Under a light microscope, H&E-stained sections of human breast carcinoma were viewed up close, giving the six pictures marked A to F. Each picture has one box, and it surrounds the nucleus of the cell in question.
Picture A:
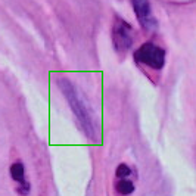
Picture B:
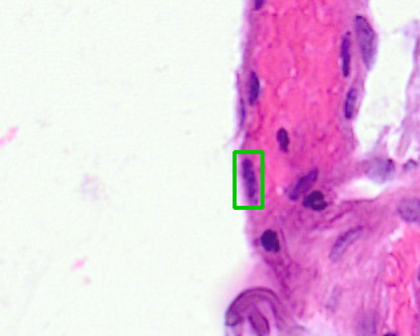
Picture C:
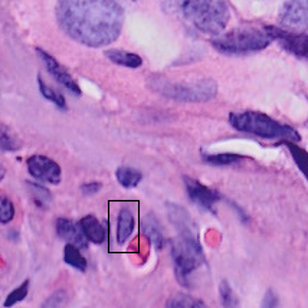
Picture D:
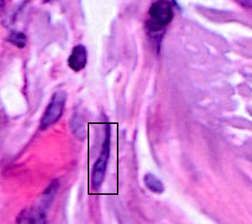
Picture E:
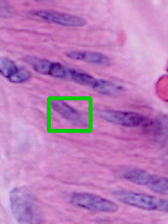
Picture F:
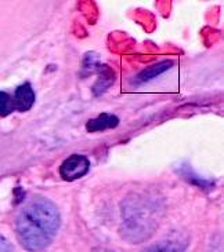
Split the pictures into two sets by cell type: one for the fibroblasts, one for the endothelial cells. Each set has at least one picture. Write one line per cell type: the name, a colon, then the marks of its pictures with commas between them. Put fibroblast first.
fibroblast: A, D
endothelial cell: B, C, E, F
